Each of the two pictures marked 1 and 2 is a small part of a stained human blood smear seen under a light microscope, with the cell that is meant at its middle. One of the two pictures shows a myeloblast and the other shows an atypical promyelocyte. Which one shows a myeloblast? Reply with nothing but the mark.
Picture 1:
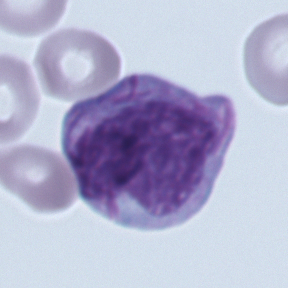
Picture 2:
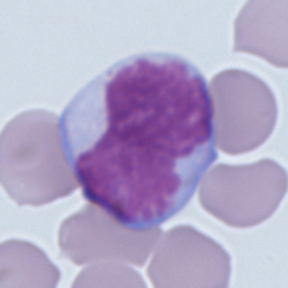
2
